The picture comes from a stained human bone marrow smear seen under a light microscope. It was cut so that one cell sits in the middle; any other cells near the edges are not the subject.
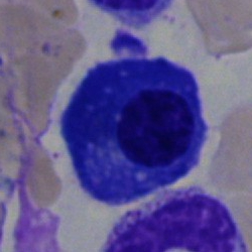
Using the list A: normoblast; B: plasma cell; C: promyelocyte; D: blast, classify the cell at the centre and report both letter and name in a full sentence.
The cell at the centre, correctly named in option B, is a plasma cell.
